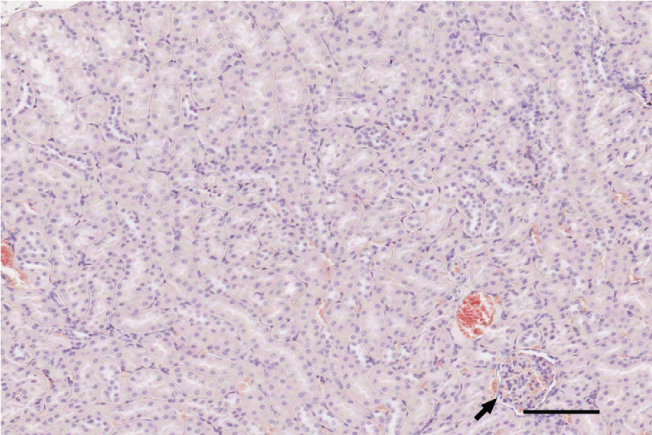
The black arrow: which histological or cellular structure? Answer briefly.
Glomeruli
